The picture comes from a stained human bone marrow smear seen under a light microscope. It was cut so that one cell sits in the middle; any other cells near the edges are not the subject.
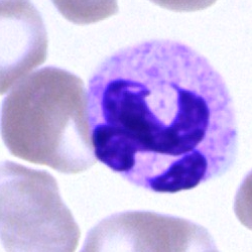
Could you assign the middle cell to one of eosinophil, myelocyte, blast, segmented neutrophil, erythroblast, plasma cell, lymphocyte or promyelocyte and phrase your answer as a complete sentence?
What the crop centres on is a segmented neutrophil.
